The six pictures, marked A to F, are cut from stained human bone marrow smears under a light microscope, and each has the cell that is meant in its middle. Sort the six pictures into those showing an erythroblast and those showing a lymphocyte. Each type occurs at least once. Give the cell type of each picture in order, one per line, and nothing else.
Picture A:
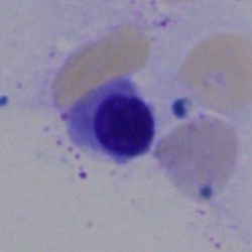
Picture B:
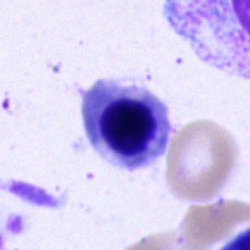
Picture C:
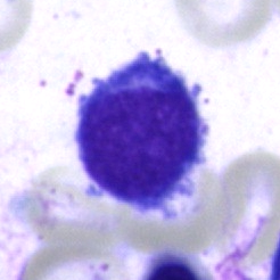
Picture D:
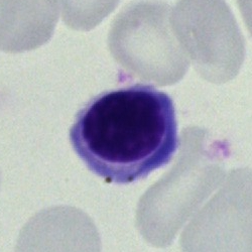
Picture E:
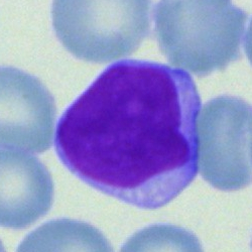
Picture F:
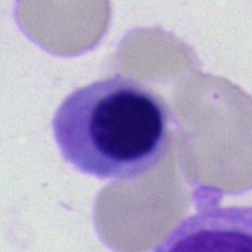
erythroblast
erythroblast
lymphocyte
erythroblast
lymphocyte
erythroblast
